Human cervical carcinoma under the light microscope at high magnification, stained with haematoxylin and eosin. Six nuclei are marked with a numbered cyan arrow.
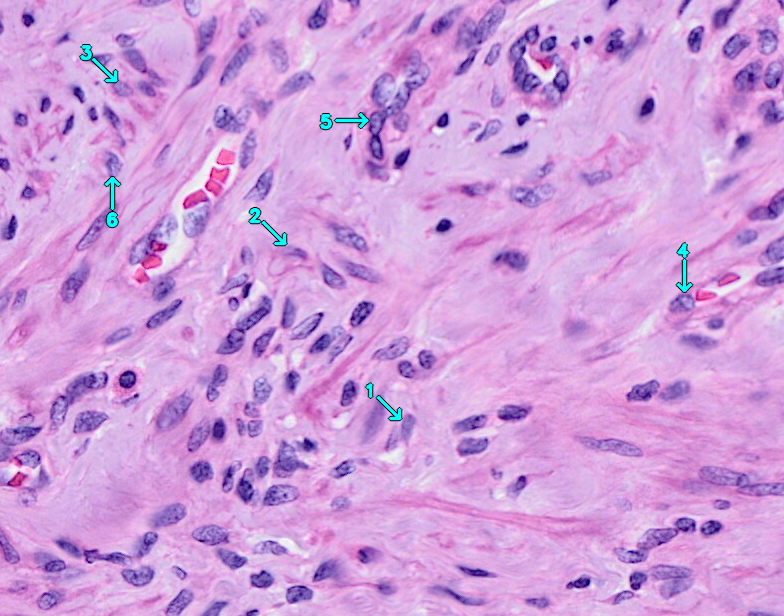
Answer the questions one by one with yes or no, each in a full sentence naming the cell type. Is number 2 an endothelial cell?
No, cell 2 is to be classed as a smooth muscle cell, not an endothelial cell.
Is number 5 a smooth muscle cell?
No, number 5 belongs to an endothelial cell, not to a smooth muscle cell.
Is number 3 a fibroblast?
No, the marked cell 3 is not a fibroblast, being instead a smooth muscle cell.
